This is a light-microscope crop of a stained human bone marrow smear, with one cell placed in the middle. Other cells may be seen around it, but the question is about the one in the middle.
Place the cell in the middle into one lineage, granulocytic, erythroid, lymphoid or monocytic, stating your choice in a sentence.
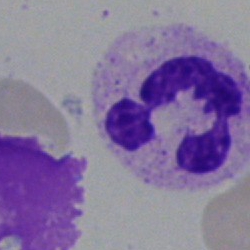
The cell at the crop's center sits within the granulocytic lineage.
